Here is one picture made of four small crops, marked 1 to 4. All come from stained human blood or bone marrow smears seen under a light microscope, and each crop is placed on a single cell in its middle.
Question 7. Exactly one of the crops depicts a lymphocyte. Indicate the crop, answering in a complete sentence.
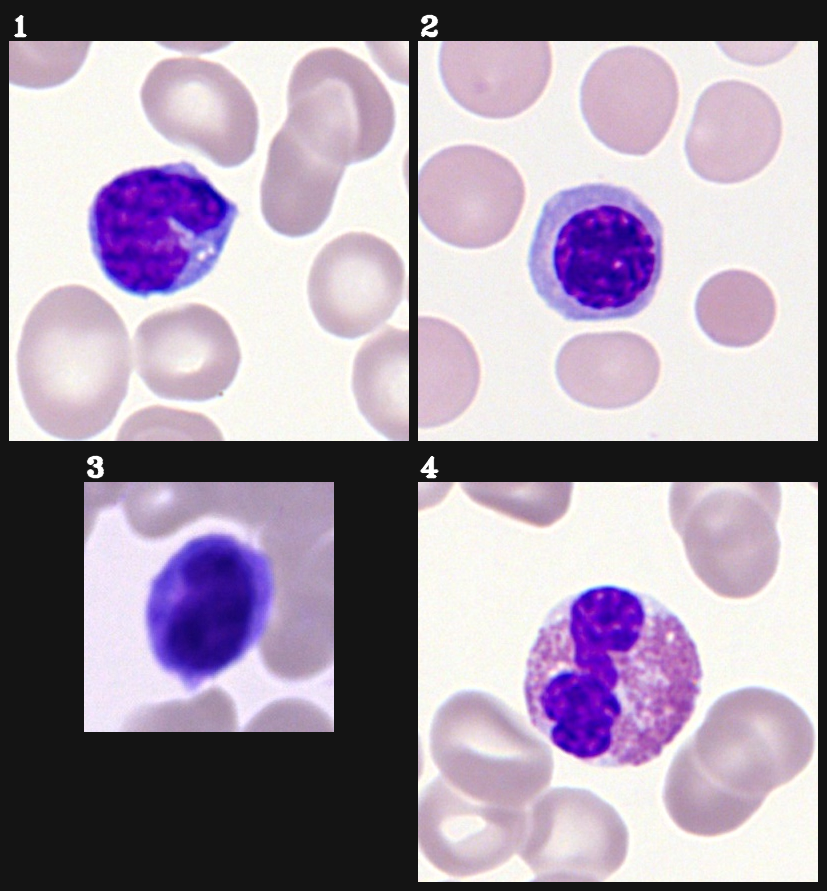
Of these crops, it is crop 1 that shows a lymphocyte.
